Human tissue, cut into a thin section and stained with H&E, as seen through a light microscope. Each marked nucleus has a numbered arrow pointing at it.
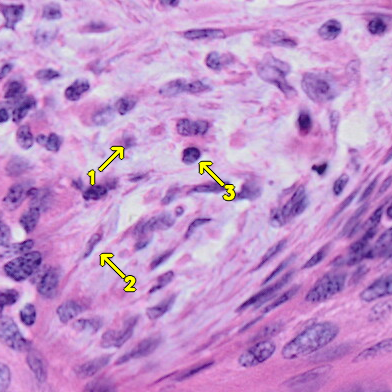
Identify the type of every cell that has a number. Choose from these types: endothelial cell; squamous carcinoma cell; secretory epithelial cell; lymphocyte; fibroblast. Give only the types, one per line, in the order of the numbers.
fibroblast
fibroblast
lymphocyte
